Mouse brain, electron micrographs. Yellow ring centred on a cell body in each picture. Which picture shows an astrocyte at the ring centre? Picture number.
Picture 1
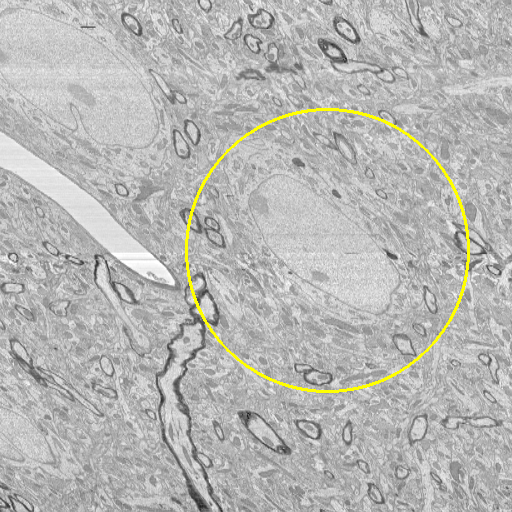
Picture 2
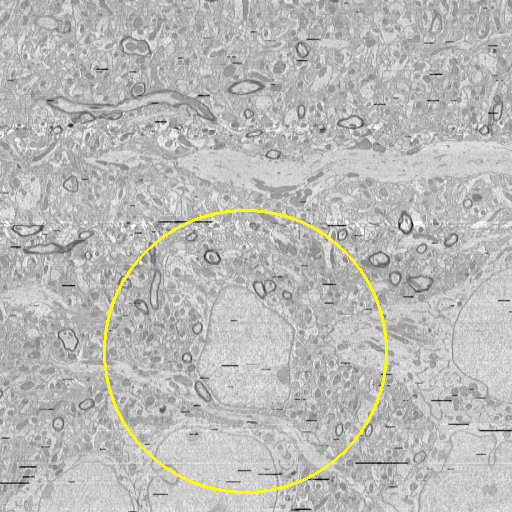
2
